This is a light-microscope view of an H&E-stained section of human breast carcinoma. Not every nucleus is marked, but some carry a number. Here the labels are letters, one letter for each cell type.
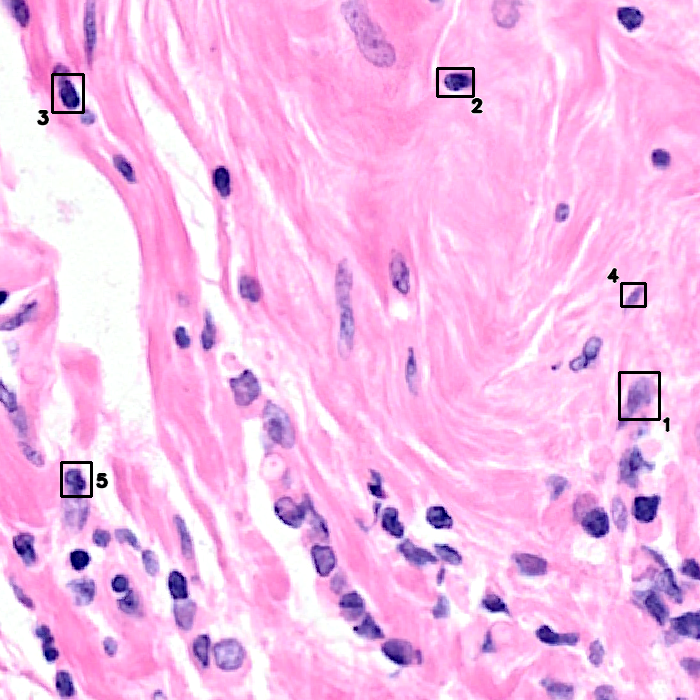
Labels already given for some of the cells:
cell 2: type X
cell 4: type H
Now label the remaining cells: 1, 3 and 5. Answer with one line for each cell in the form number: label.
1: type H
3: type X
5: type X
